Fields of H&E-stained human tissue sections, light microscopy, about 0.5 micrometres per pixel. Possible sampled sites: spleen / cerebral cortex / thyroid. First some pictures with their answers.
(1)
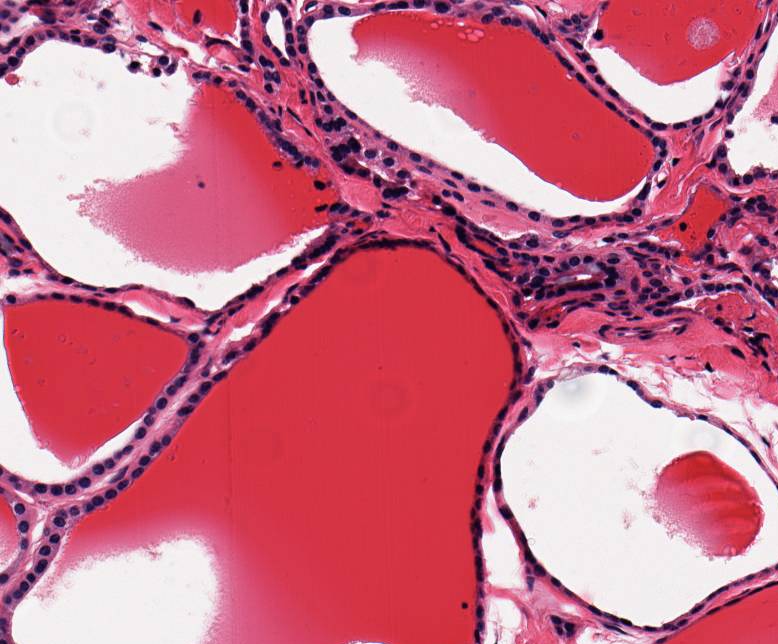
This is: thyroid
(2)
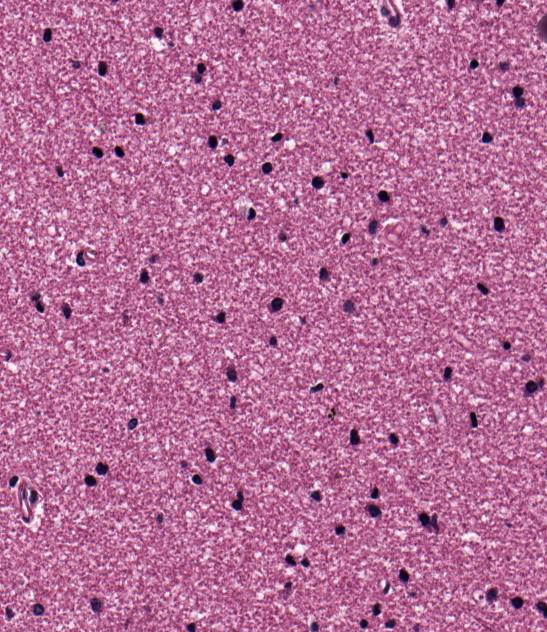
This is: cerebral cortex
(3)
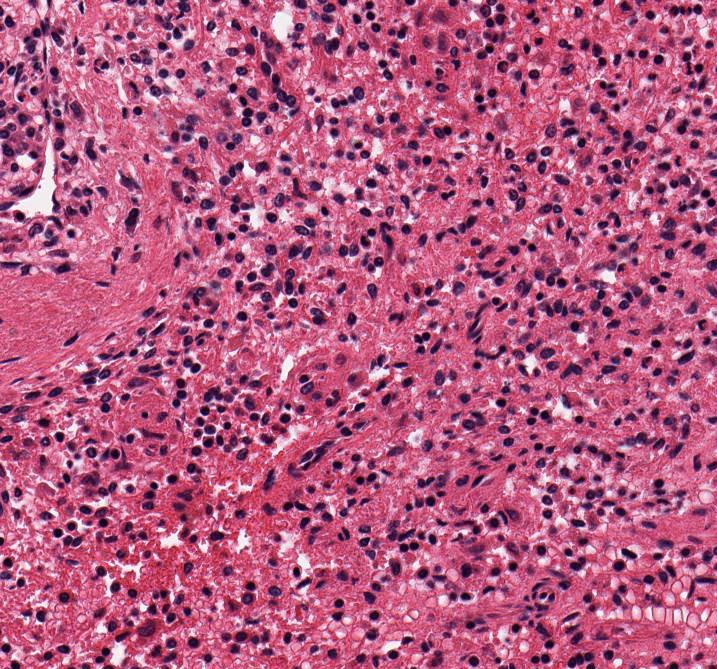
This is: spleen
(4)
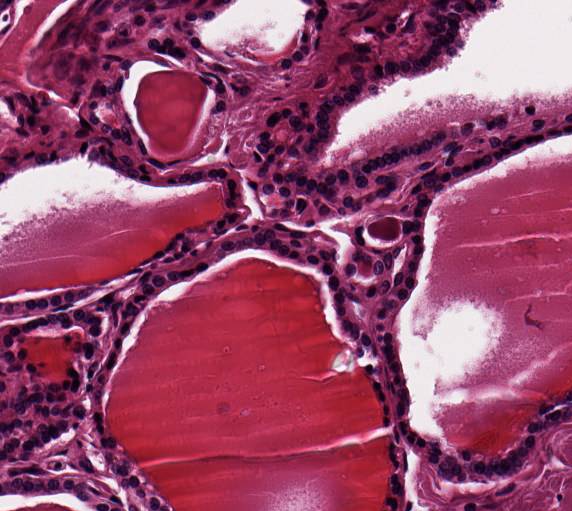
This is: thyroid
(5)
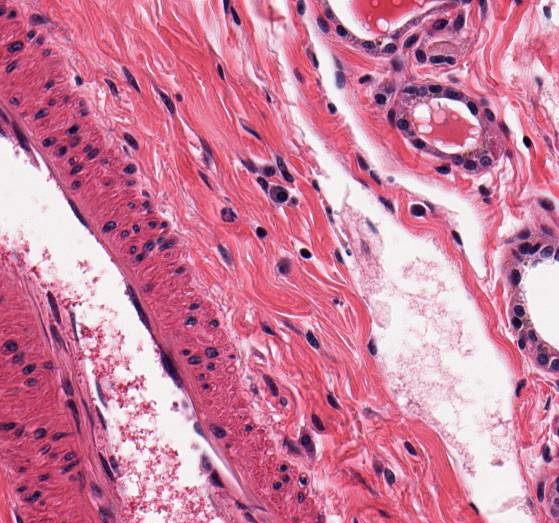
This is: thyroid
